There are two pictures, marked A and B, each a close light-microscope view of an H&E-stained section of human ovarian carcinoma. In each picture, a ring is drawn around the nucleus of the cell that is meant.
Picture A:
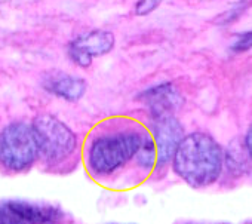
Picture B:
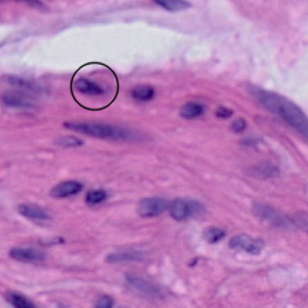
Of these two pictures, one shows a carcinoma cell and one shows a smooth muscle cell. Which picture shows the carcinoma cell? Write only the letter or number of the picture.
A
